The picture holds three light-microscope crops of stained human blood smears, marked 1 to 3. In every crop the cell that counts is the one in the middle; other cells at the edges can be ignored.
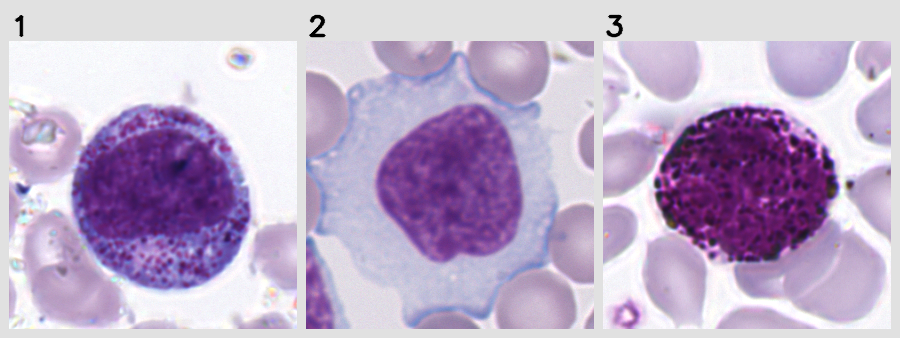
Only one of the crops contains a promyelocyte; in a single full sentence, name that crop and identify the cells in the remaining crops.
Concerning crop 1, the cell shown is a promyelocyte, whereas crop 2 is a myeloblast and crop 3 is a basophil.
